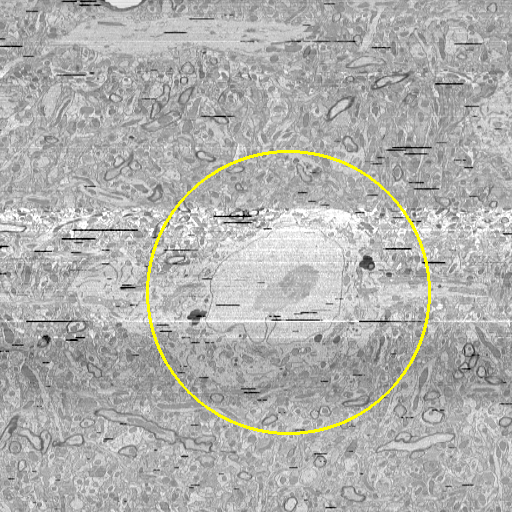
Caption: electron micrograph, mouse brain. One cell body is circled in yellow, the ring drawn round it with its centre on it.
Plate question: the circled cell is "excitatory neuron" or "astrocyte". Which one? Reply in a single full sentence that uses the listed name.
The yellow ring on the plate is centred on an excitatory neuron, going by the listed names.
